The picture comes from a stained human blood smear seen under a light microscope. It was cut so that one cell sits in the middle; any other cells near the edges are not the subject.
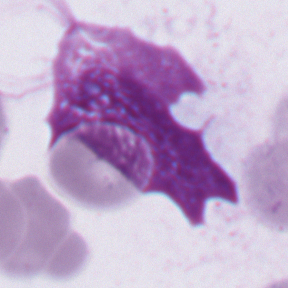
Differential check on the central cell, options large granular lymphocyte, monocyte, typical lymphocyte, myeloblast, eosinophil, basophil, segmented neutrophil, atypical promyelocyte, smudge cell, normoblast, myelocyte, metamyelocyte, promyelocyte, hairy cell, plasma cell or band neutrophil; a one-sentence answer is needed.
The central element of this crop is a cell, namely a smudge cell.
